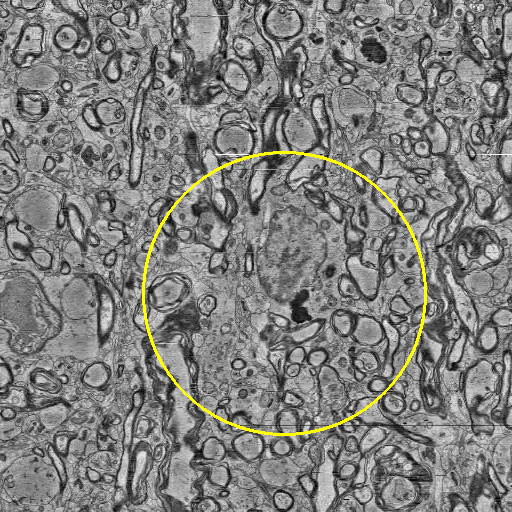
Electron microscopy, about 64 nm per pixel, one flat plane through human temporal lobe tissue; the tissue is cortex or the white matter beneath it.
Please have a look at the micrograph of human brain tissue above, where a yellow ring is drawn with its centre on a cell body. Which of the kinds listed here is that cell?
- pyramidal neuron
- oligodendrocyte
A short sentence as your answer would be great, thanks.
At the centre of the ring sits an oligodendrocyte.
